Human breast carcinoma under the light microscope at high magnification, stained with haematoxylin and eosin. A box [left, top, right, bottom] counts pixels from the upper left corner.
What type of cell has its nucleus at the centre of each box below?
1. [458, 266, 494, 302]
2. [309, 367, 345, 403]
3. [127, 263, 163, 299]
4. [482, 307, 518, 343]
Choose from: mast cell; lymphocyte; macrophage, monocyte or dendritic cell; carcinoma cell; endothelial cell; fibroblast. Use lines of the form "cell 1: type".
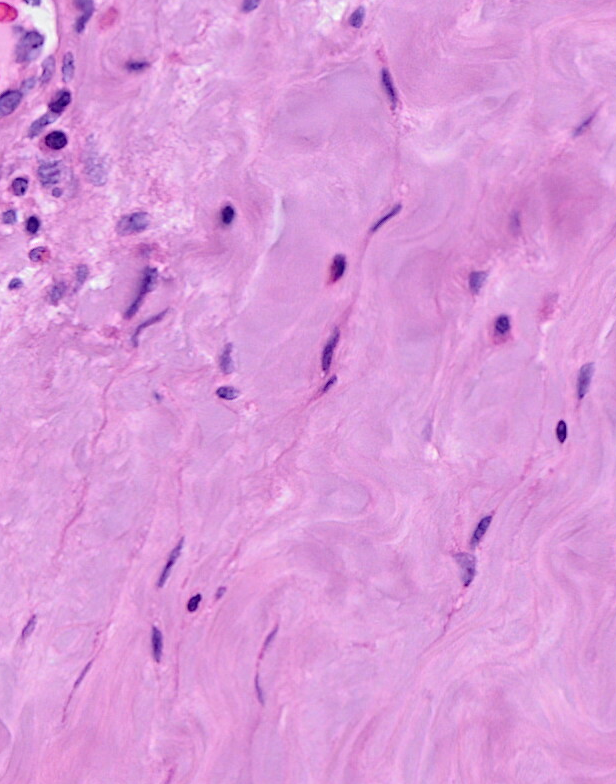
cell 1: fibroblast
cell 2: fibroblast
cell 3: fibroblast
cell 4: mast cell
